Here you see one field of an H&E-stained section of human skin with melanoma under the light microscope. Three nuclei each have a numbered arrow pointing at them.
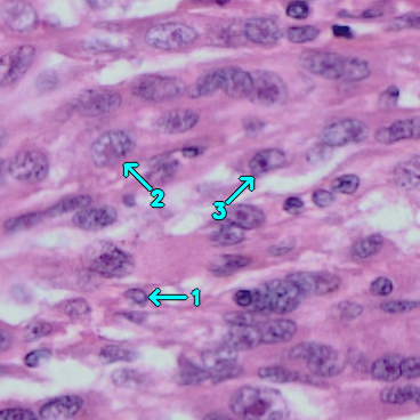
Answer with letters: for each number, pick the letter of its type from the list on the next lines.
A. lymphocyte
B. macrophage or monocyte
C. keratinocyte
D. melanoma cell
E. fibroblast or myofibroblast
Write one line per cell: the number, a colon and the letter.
1: B
2: D
3: D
